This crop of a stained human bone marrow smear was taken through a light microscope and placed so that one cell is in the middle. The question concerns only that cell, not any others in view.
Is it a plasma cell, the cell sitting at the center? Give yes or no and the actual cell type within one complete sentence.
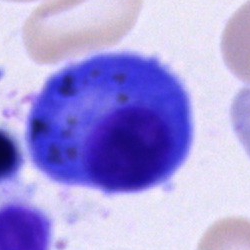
Yes, the central element of the crop is a plasma cell.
